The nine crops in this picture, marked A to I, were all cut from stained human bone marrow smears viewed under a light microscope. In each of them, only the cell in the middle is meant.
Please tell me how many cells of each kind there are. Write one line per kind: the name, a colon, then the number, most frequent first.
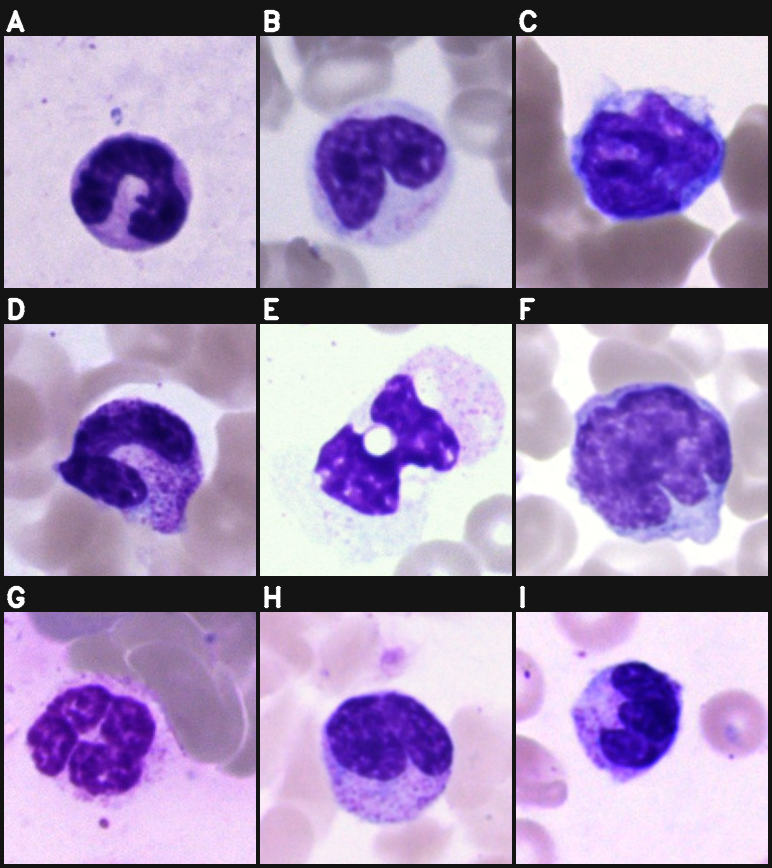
band neutrophil: 4
segmented neutrophil: 3
monocyte: 2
